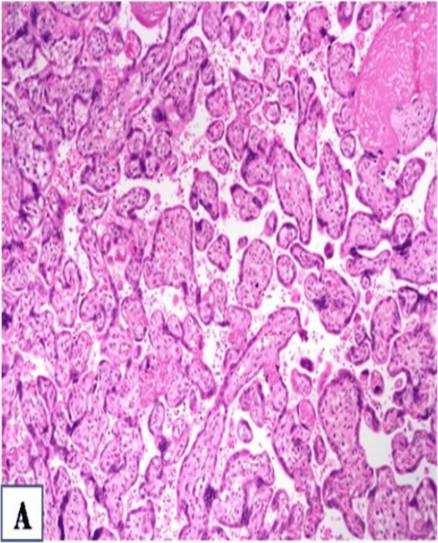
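This field shows normal placenta made up of many mature villi cut in cross and oblique section. The villi are small, rounded to elongated and branching, each with a pink stromal core. Their edges are lined by a thin rim of purple nuclei, with occasional darker knots of nuclei along the surface. Clear spaces separate the villi, and a larger pink, more solid area sits at the upper right.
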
